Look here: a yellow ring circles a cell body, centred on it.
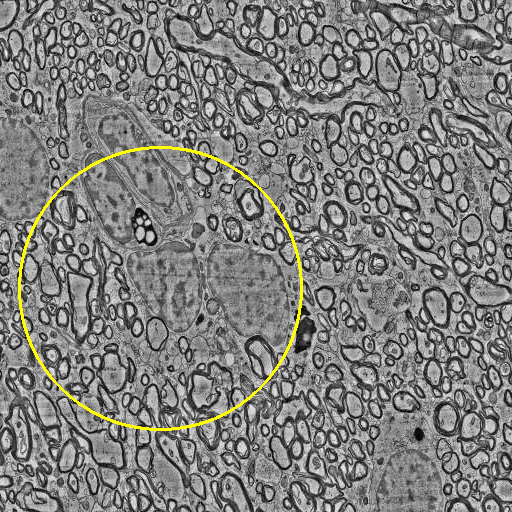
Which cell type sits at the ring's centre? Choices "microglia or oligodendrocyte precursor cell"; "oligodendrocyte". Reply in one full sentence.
The cell at the centre of the yellow ring in the picture is a microglial cell or oligodendrocyte precursor cell.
